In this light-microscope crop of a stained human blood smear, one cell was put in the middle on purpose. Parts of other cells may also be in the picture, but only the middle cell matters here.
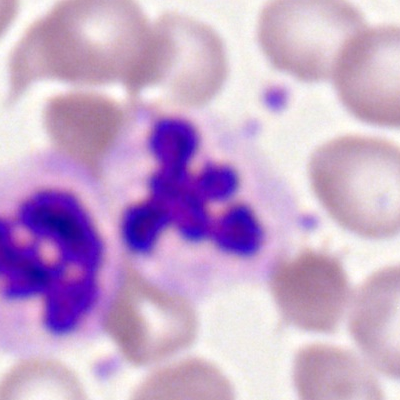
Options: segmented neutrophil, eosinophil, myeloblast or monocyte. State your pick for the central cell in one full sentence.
As for the cell in the middle, it is a segmented neutrophil.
